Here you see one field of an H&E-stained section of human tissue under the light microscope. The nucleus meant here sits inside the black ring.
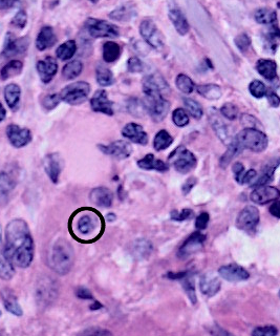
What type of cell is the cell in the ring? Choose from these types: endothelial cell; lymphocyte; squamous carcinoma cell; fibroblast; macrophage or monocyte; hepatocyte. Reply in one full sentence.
The identity of the cell in the ring is that of a lymphocyte.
